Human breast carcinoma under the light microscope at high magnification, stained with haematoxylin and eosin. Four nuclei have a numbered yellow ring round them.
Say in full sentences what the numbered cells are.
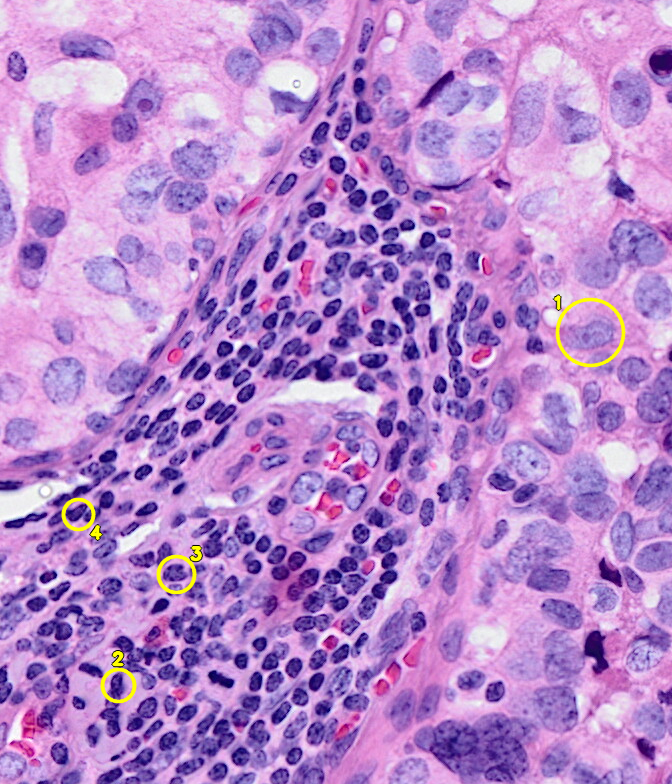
Cell 1 is a carcinoma cell, cell 2 is a lymphocyte, cell 3 is a lymphocyte and cell 4 is a lymphocyte.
